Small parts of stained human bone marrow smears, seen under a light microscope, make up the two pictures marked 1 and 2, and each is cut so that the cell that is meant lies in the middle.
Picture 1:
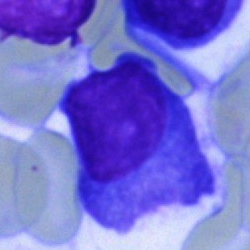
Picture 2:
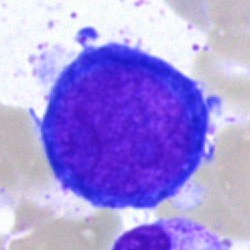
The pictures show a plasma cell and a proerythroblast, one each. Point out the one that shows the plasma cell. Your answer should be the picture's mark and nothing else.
1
